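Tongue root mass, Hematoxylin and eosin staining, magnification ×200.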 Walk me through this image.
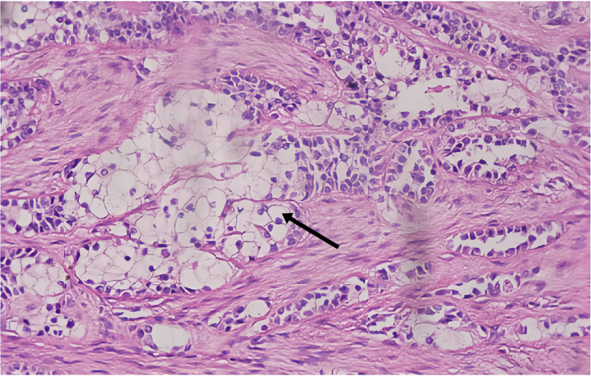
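Nests of tumor cells with clear, vacuolated cytoplasm and small dark nuclei are set within pink fibrous stroma. The stroma around the cell nests is fibrillary and stains red-pink, and the nests extend as strands into this fibrous tissue.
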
